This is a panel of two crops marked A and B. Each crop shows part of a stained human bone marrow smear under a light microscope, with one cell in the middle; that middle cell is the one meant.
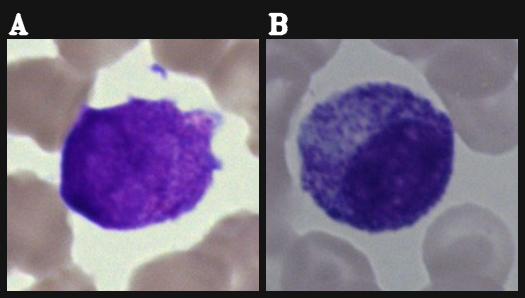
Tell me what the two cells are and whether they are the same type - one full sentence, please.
No, it is in crop A that a blast is shown, and in crop B that a promyelocyte is shown.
